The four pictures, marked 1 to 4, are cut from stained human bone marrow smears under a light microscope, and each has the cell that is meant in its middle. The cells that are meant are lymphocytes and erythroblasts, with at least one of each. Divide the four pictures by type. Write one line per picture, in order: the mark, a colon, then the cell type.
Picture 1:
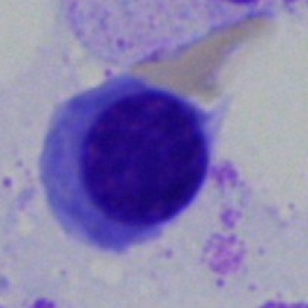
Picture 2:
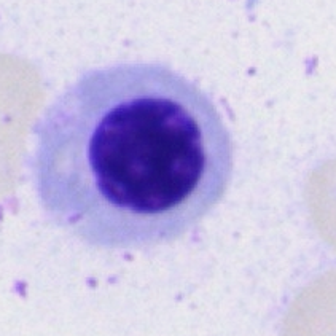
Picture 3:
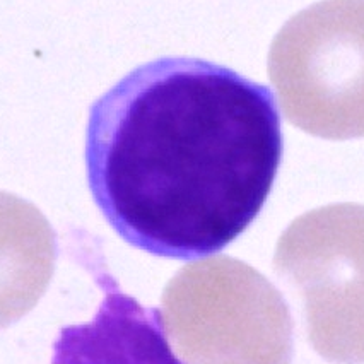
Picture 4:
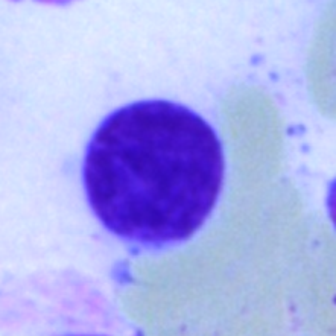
1: erythroblast
2: erythroblast
3: lymphocyte
4: lymphocyte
